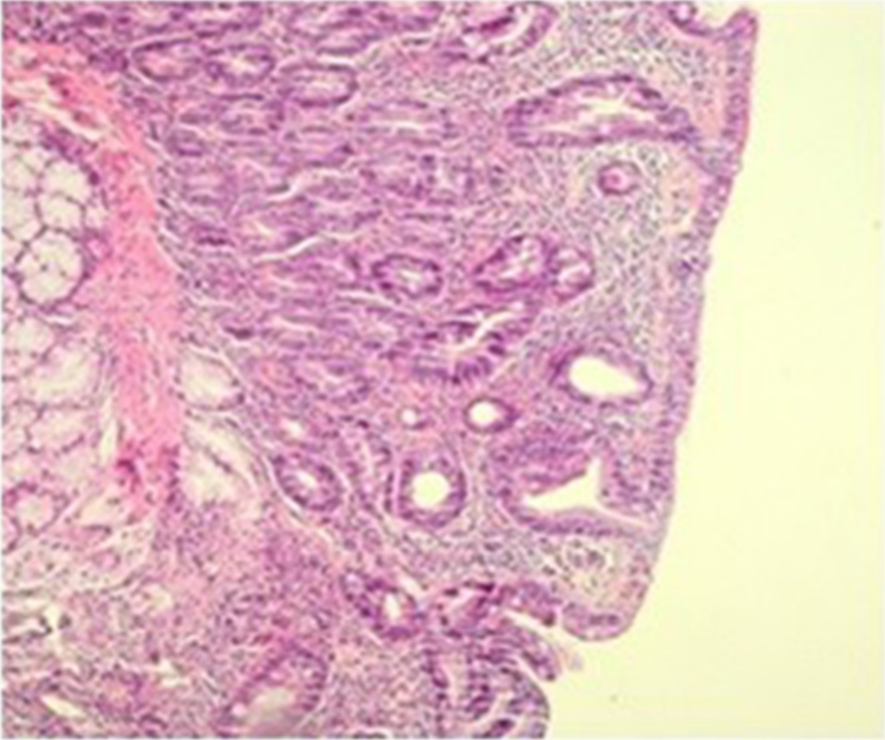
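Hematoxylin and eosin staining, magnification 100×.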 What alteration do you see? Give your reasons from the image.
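The mucosal surface at the right runs as a broad, flat border without finger-like projections. The surface is lined by a single layer of columnar epithelium. The answer: Villi flattening.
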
